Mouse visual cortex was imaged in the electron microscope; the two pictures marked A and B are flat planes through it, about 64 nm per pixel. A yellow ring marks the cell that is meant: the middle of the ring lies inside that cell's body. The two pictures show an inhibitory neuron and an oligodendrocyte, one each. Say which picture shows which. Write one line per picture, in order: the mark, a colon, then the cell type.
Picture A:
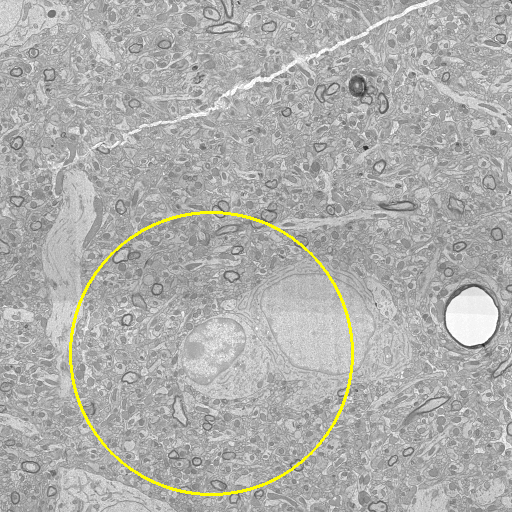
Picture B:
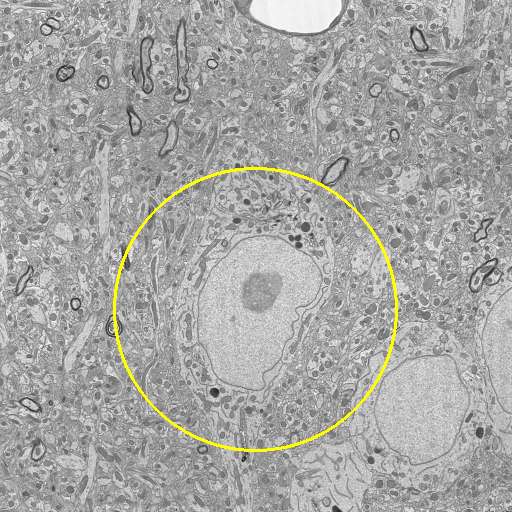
A: oligodendrocyte
B: inhibitory neuron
